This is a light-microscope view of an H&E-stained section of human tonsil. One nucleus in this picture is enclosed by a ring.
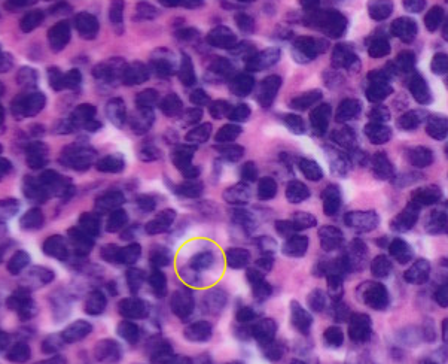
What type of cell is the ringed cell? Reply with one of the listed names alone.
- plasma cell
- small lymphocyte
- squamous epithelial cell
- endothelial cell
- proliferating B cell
small lymphocyte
